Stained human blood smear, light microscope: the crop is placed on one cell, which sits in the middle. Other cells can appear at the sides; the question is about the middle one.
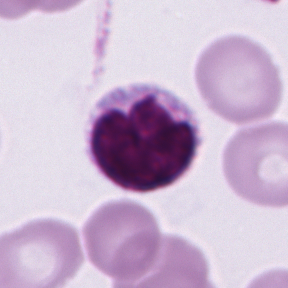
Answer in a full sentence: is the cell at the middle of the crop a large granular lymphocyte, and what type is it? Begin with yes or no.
No, a typical lymphocyte, not a large granular lymphocyte, is what sits in the centre of the crop.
